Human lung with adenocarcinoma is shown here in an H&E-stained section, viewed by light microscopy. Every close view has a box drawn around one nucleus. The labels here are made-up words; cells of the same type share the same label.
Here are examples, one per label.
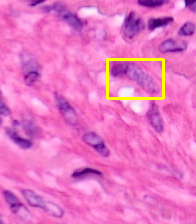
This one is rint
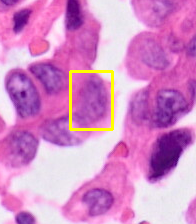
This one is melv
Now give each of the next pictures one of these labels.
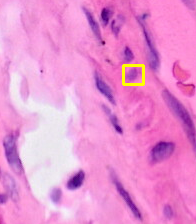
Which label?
rint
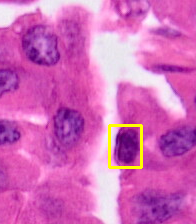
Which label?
melv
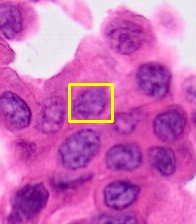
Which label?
melv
